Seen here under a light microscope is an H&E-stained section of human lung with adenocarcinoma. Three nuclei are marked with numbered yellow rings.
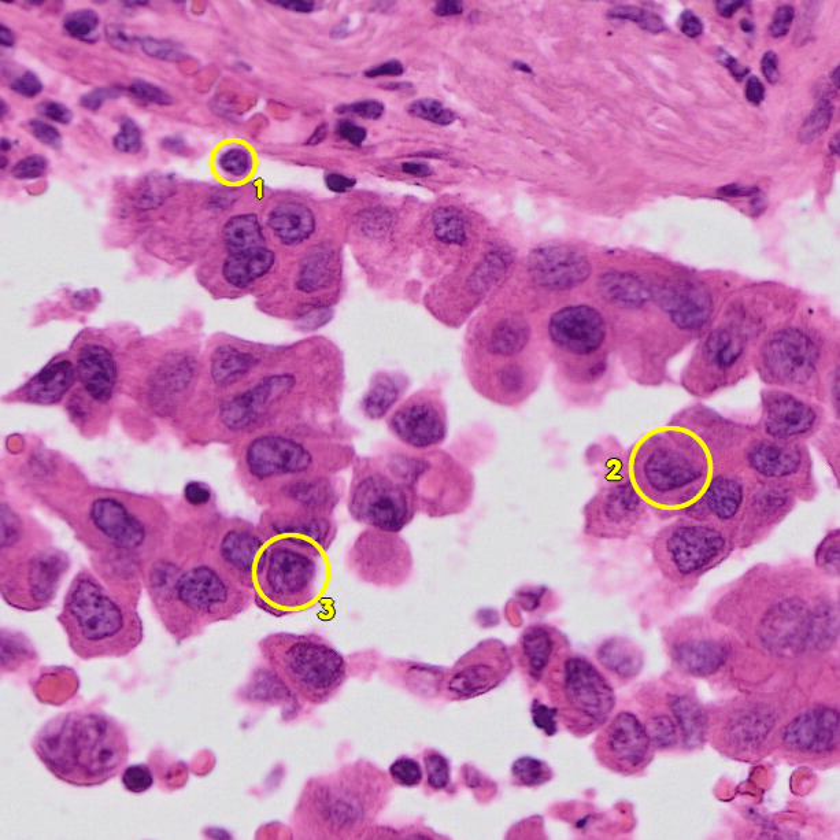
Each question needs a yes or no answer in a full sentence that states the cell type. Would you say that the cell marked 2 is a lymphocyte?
No, the cell that carries number 2 is a carcinoma cell, not a lymphocyte.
